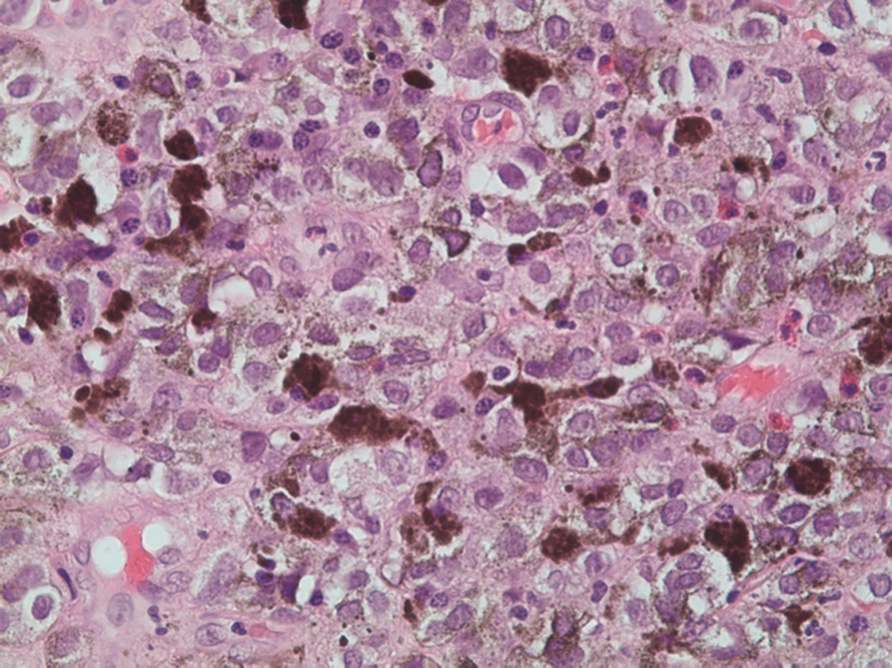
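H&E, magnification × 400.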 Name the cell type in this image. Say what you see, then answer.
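Large polygonal cells with ample pale pink-purple cytoplasm and round to oval nuclei. Cells lie packed in sheets without glandular arrangement. Many cells hold coarse dark brown cytoplasmic granules. So: epithelioid melanocytes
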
